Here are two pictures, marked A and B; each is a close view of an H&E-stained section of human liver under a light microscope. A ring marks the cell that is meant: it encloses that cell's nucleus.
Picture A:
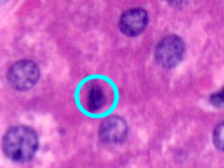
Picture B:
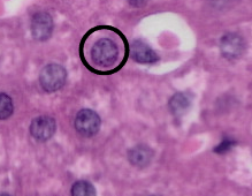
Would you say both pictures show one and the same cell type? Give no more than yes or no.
no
